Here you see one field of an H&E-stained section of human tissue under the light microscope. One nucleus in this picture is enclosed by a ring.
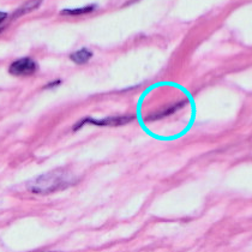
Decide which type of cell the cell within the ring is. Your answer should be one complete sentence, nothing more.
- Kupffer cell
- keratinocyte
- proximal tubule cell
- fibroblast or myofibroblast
Labelled by cell type, the cell within the ring is a fibroblast or myofibroblast.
